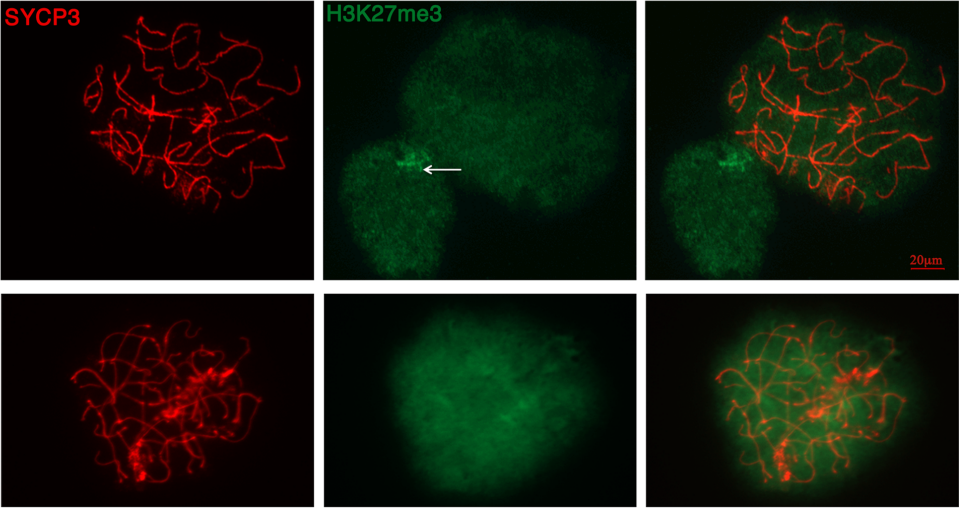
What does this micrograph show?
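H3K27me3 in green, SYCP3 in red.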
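In the oocytes, red staining outlines many long, thin, winding chromosome axes spread across a large nucleus, some running paired along parts of their length, a few ending in brighter knots. Green staining fills the oocyte nuclei as a fine granular haze without a distinct focus. In the upper row a smaller round nucleus sits beside the oocyte and holds one compact bright green focus marked by an arrow. In the lower row the green haze over the oocyte nucleus appears brighter and more even.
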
